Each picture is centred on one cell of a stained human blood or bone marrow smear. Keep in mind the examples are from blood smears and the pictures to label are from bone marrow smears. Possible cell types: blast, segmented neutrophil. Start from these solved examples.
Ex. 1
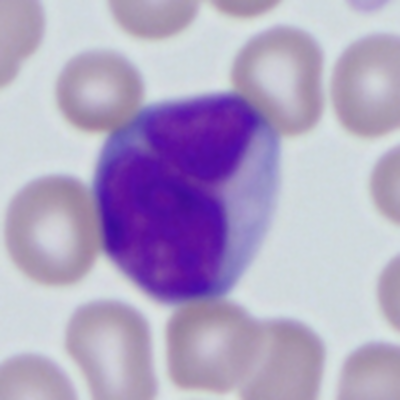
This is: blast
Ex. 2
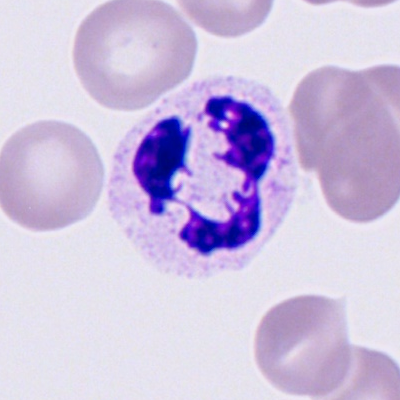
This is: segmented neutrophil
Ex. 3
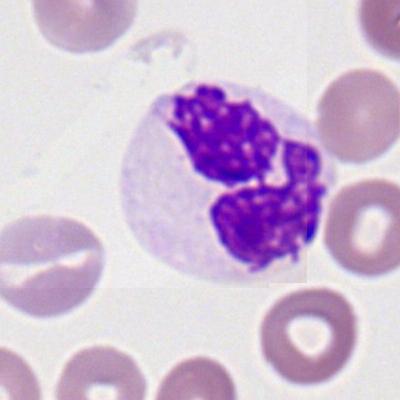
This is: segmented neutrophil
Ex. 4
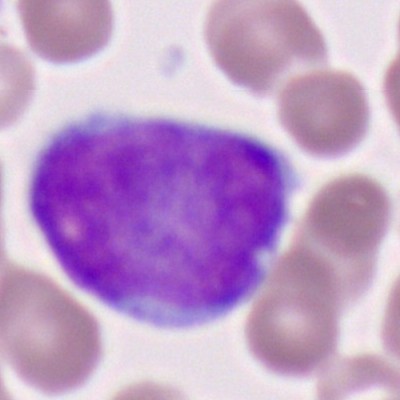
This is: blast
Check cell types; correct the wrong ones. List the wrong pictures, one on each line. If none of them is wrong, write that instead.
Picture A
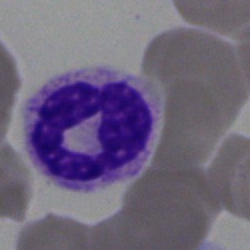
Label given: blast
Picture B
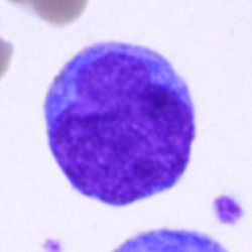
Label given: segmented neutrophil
A is labelled blast; correct label: segmented neutrophil
B is labelled segmented neutrophil; correct label: blast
